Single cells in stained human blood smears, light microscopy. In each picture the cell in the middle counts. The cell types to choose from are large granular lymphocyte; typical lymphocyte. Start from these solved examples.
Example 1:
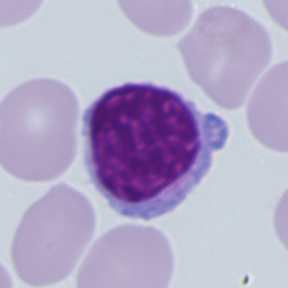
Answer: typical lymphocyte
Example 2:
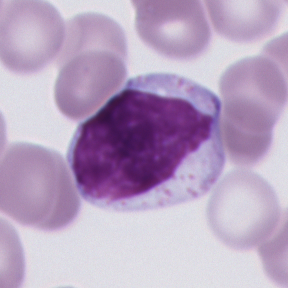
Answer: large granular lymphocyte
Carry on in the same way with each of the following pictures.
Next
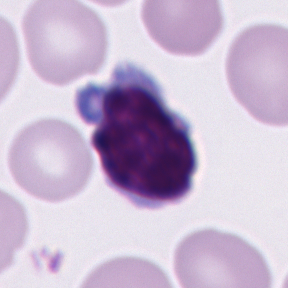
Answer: typical lymphocyte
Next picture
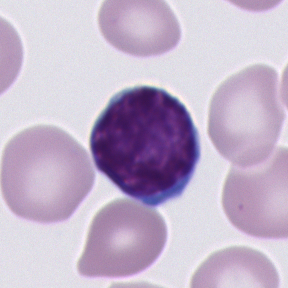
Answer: typical lymphocyte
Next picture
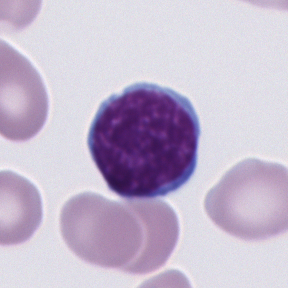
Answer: typical lymphocyte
